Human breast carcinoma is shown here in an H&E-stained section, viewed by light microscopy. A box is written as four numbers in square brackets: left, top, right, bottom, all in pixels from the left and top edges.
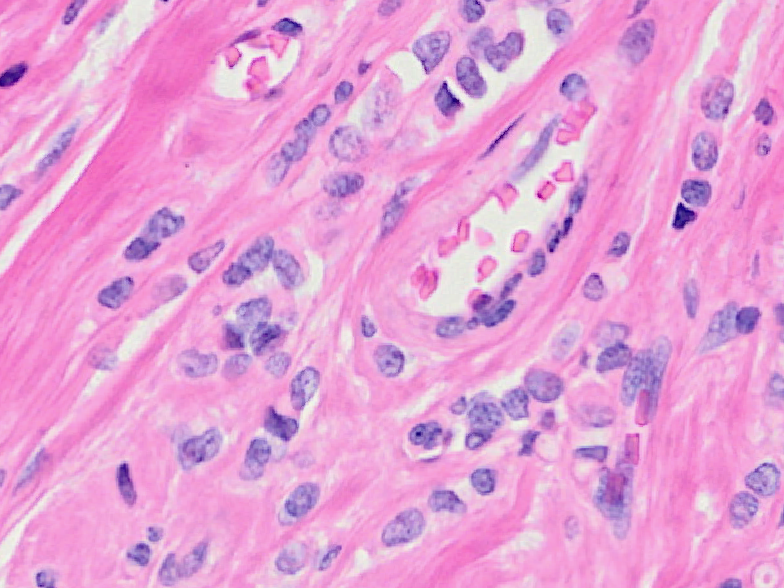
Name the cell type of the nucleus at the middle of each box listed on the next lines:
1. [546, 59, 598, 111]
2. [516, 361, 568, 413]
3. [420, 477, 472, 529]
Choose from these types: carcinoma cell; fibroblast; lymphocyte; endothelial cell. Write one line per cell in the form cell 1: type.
cell 1: endothelial cell
cell 2: carcinoma cell
cell 3: carcinoma cell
